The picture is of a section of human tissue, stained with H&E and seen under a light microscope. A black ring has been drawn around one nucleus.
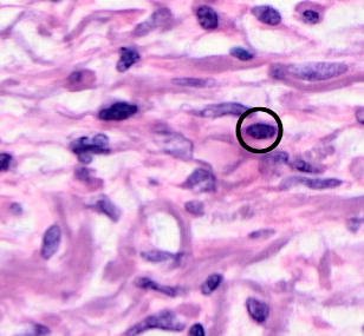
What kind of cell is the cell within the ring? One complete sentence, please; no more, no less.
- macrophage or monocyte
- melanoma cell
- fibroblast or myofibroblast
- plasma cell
As far as its identity is concerned, the cell within the ring is a plasma cell.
